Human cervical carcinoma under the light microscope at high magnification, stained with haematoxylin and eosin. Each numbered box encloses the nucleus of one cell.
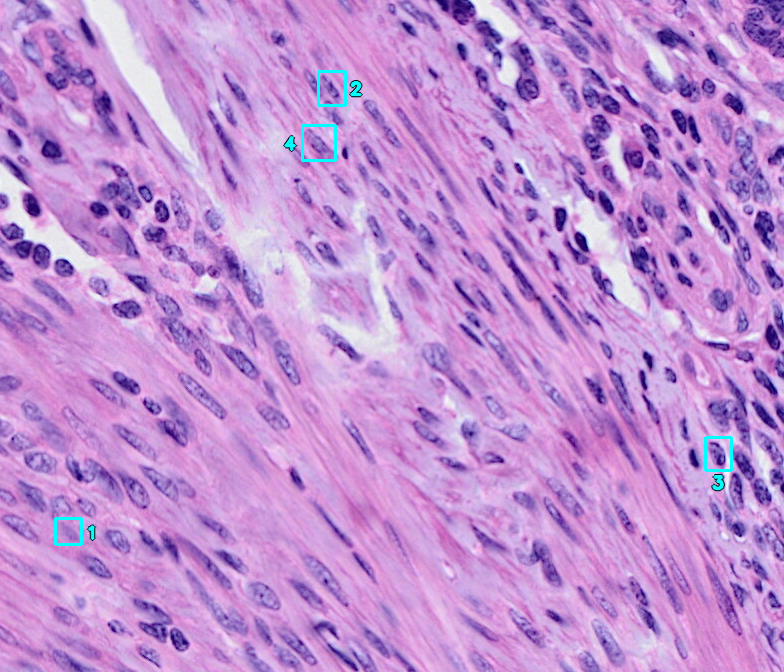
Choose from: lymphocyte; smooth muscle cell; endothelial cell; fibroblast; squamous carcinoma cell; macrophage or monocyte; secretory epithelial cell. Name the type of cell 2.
smooth muscle cell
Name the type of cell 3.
lymphocyte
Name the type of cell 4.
smooth muscle cell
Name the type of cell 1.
smooth muscle cell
